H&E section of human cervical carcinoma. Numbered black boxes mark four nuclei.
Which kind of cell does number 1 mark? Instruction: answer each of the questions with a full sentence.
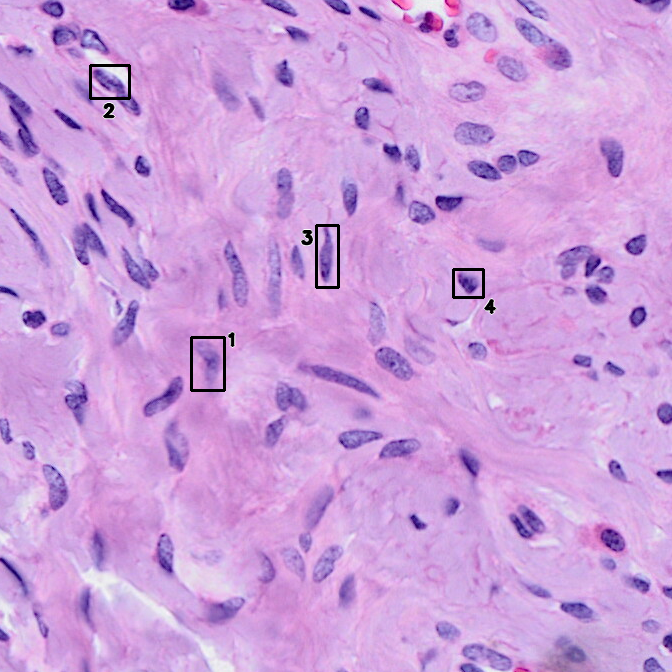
In this section, number 1 marks a fibroblast.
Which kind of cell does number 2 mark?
In this section, the cell tagged 2 is an endothelial cell.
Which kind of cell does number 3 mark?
The numbered cell 3 in this field is a fibroblast.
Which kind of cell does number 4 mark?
The mark numbered 4 indicates the nucleus of a fibroblast.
